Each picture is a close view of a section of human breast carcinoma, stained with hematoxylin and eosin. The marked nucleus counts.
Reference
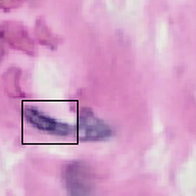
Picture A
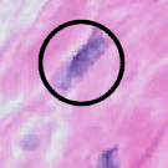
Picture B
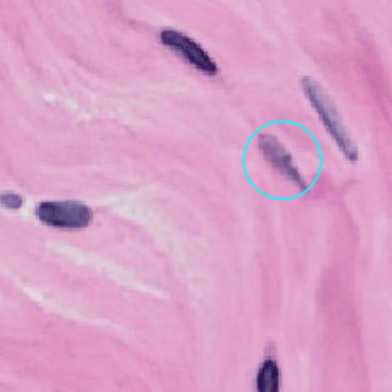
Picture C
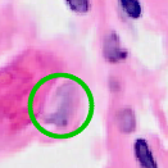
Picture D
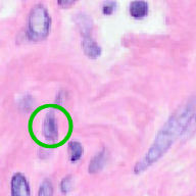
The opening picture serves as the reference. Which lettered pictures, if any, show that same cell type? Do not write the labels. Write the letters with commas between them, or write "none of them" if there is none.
C, D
